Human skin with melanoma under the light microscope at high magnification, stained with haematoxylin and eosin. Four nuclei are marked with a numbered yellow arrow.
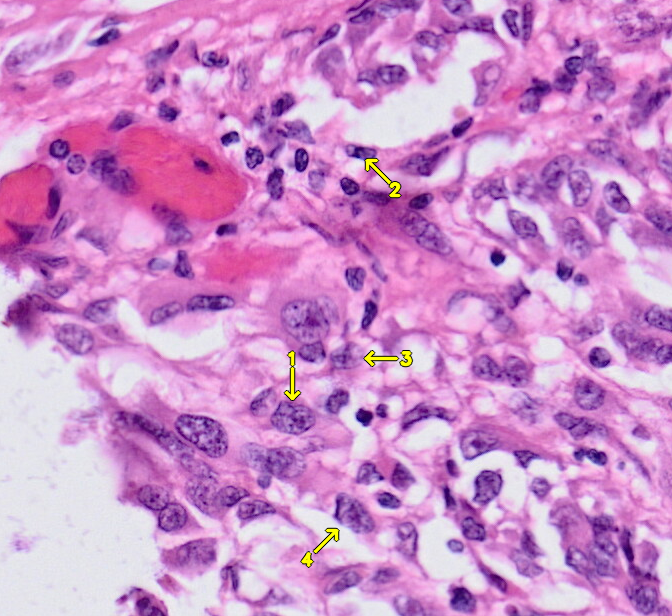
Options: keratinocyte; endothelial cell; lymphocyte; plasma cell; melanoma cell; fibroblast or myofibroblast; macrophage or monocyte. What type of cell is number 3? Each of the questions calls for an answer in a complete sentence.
Marked with the number 3, this cell is a melanoma cell.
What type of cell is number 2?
The cell pointed out by number 2 is a lymphocyte.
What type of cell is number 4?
Classified as a melanoma cell is the cell with the number 4.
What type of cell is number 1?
The cell carrying label 1 is identified as a melanoma cell.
